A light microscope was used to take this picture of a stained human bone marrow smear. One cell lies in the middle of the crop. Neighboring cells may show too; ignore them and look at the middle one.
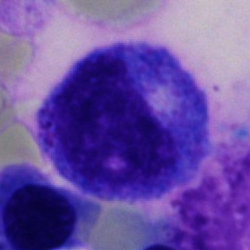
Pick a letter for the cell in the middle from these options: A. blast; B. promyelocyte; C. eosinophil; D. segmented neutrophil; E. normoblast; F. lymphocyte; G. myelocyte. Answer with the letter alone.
B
